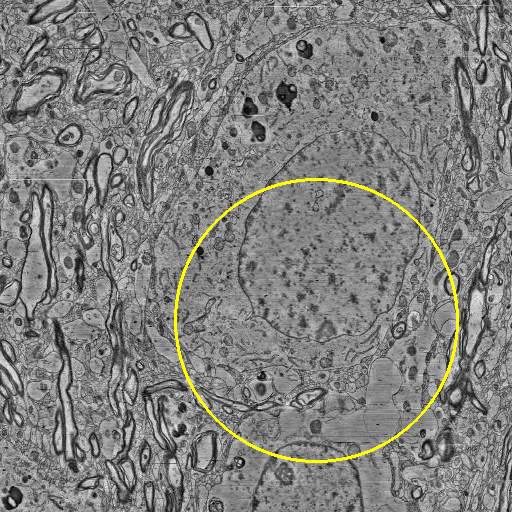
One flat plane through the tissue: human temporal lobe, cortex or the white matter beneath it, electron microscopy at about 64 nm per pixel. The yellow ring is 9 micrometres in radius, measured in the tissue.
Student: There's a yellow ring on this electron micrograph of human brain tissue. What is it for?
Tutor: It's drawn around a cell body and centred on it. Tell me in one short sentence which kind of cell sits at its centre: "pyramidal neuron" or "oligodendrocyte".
The cell at the centre of the ring is a pyramidal neuron.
